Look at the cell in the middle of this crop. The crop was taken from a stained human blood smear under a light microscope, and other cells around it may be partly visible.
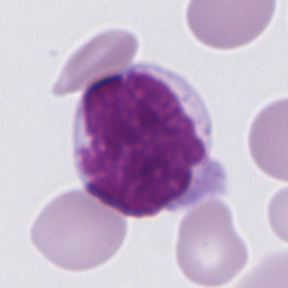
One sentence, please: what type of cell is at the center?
On this slide crop, the central cell is a large granular lymphocyte.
